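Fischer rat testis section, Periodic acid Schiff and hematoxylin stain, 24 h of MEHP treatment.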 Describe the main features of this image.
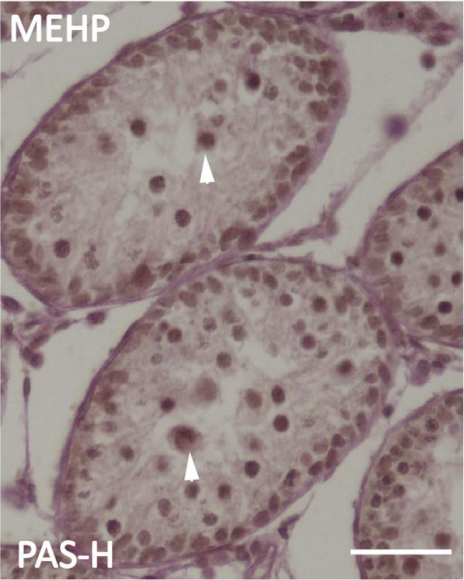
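Seminiferous tubules whose epithelium looks pale and loosened, with fewer densely packed nuclei and a light pinkish, vacuolated interior. Scattered rounded cells with dark nuclei lie free toward the lumen, which is sloughing of the germ cells into the lumen.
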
